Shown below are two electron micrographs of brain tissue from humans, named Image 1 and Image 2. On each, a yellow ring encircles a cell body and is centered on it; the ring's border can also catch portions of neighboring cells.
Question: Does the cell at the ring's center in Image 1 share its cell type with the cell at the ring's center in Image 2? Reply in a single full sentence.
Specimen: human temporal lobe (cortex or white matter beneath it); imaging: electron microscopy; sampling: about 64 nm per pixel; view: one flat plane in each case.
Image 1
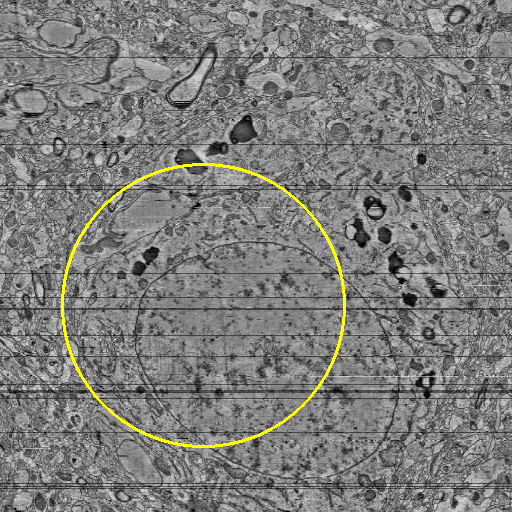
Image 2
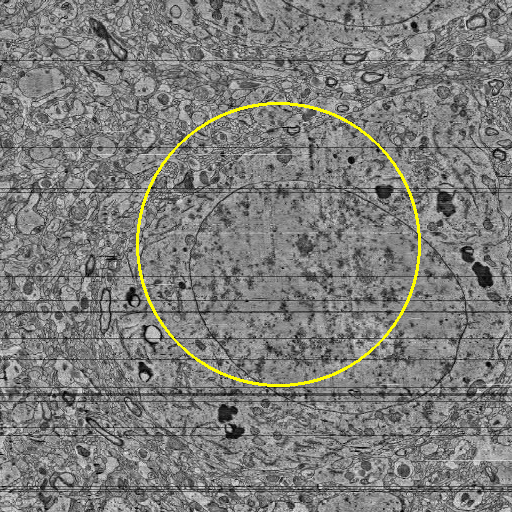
Yes, the two cells at the ring centers, in Image 1 and Image 2, share one cell type.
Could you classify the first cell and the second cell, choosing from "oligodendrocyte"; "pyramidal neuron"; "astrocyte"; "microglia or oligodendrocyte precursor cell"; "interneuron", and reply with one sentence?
In both pictures the ring is centred on a pyramidal neuron.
